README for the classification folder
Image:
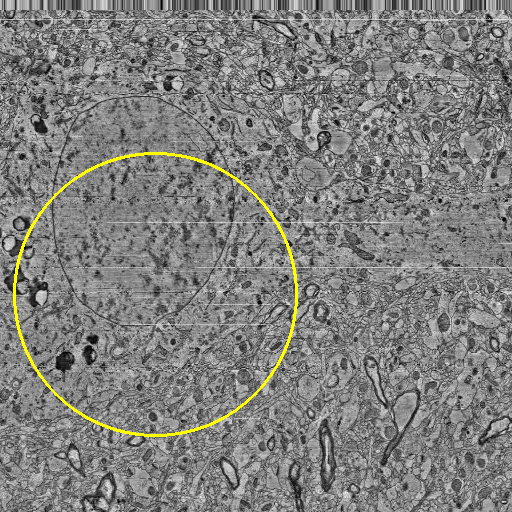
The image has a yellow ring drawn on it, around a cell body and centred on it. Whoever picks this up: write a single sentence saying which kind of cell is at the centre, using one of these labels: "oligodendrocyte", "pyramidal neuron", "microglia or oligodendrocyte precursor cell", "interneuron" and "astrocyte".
This cell body is that of a pyramidal neuron.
